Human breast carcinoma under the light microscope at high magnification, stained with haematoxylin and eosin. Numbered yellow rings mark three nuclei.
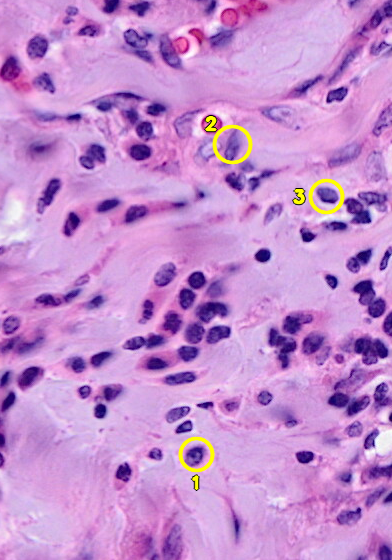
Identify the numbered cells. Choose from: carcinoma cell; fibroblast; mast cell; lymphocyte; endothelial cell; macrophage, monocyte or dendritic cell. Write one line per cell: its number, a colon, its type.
1: mast cell
2: endothelial cell
3: lymphocyte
